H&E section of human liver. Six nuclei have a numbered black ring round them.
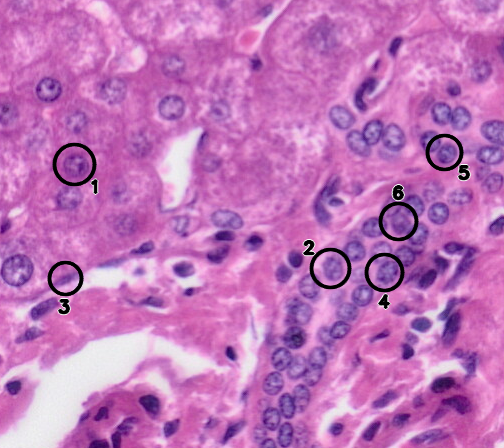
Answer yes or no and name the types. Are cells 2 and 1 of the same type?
No, cell 2 is a cholangiocyte, and cell 1, for its part, is a hepatocyte.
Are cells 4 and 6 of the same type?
Yes, that cells 4 and 6 are both cholangiocytes holds true.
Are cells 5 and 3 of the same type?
No, that's off: cell 5 is a cholangiocyte and cell 3 is a fibroblast or stellate cell.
